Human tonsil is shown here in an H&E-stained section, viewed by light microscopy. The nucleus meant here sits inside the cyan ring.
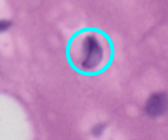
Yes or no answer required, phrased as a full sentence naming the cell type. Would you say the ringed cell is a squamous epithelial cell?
Yes, put very simply, the ringed cell is a squamous epithelial cell.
